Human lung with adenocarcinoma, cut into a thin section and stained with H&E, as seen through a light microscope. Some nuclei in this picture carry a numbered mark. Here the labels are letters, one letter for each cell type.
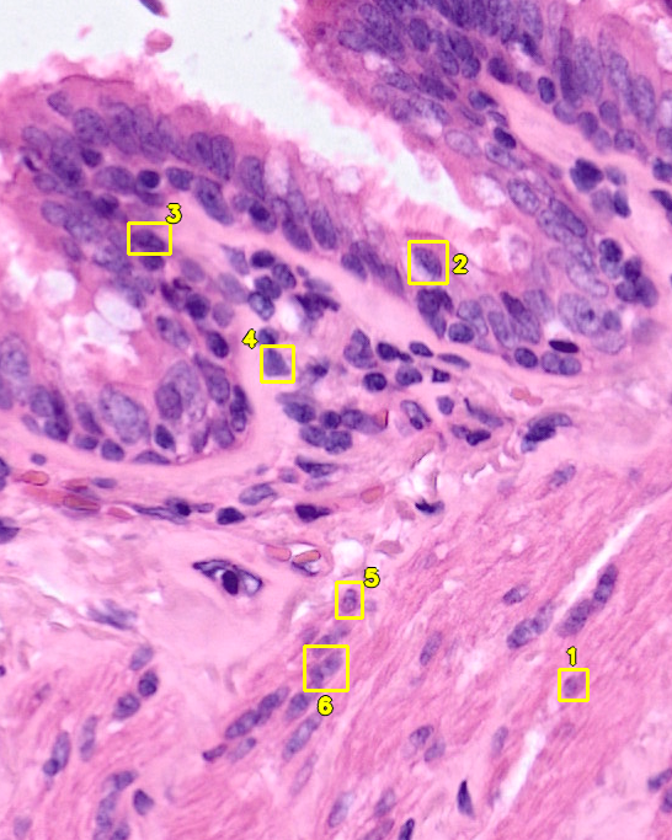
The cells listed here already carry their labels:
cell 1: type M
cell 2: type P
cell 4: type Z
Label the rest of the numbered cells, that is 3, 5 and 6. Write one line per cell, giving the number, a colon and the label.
3: type P
5: type M
6: type M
